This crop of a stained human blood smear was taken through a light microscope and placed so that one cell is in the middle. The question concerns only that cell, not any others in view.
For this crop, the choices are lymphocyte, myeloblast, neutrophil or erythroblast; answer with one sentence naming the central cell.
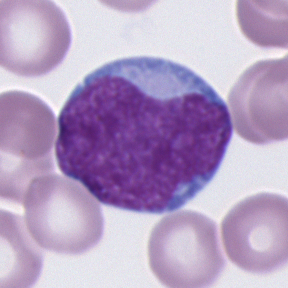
The cell in the exact centre of the crop is a myeloblast.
